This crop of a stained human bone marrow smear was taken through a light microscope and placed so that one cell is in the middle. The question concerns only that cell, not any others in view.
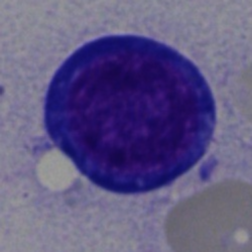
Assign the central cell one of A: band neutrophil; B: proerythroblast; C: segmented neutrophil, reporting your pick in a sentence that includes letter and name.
The cell in the centre of the crop is a proerythroblast, so option B is the correct one.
